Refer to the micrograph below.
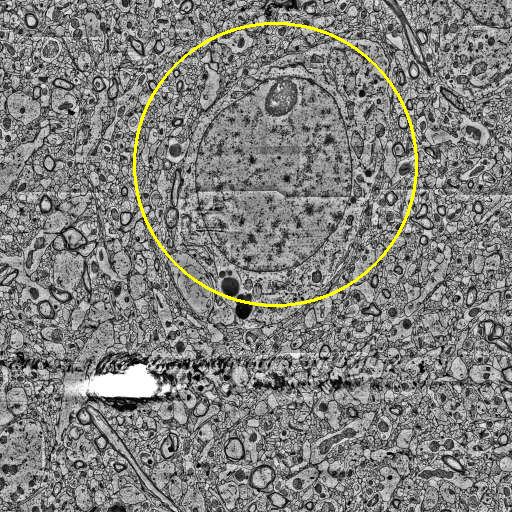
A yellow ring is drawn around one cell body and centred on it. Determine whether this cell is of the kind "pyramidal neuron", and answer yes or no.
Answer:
yes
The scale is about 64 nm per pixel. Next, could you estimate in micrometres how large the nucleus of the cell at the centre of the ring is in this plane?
Roughly 13 micrometres by 10 micrometres, in this plane.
